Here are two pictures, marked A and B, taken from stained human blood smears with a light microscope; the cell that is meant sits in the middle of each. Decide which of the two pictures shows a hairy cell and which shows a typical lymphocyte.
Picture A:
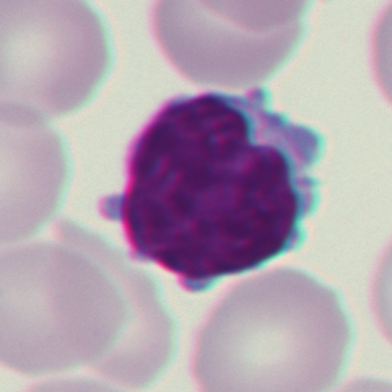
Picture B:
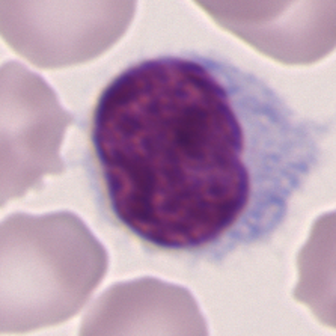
A: typical lymphocyte
B: hairy cell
